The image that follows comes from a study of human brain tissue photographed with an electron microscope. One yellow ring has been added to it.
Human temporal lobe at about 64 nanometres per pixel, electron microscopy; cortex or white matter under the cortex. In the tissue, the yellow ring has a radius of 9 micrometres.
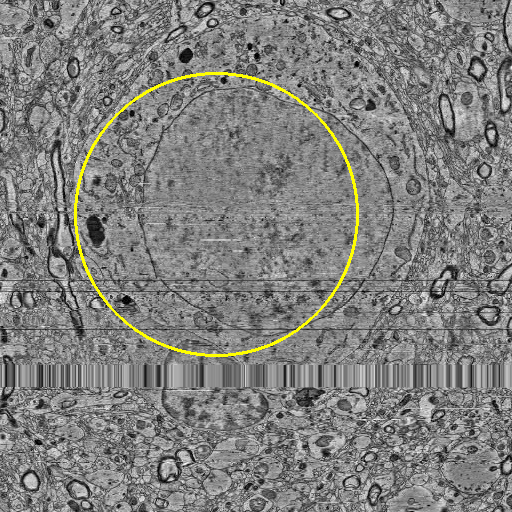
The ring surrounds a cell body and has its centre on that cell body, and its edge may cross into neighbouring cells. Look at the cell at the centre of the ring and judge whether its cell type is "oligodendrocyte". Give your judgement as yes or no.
no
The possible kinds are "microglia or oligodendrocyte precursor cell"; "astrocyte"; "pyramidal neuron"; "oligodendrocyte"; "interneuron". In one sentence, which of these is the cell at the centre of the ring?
The cell this ring marks is a pyramidal neuron.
